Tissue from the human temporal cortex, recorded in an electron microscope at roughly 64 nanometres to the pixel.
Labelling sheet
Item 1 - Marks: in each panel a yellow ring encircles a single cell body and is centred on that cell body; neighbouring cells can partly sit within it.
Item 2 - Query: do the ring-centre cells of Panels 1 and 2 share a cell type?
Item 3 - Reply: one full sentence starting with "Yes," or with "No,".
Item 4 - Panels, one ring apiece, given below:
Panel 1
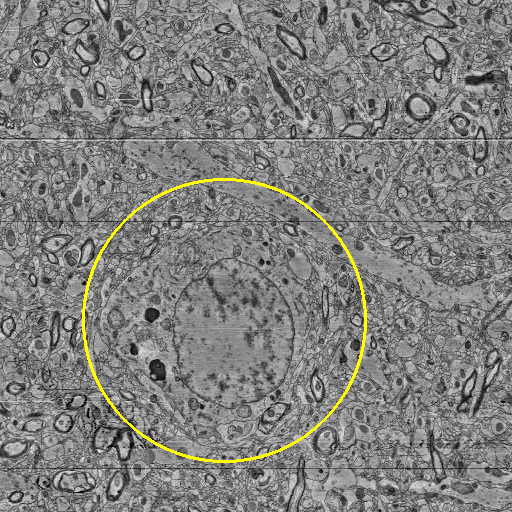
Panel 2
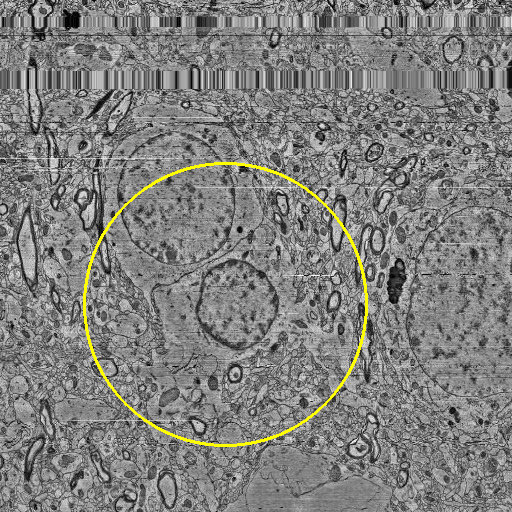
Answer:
No, Panel 1 and Panel 2 show two cell types at the centres of their rings.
